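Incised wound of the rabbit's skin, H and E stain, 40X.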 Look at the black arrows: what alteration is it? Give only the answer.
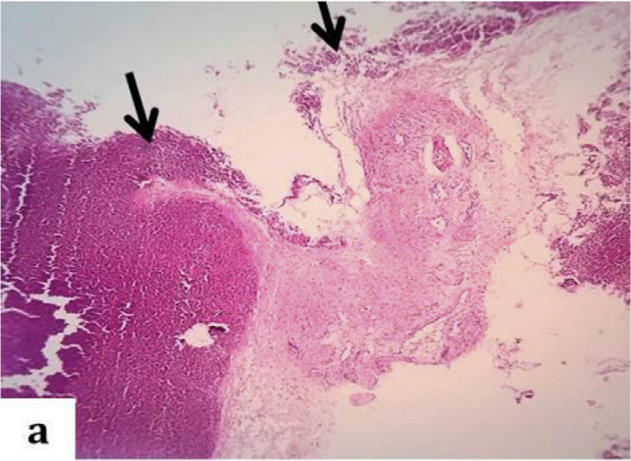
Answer: necrotic debris and fibrin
